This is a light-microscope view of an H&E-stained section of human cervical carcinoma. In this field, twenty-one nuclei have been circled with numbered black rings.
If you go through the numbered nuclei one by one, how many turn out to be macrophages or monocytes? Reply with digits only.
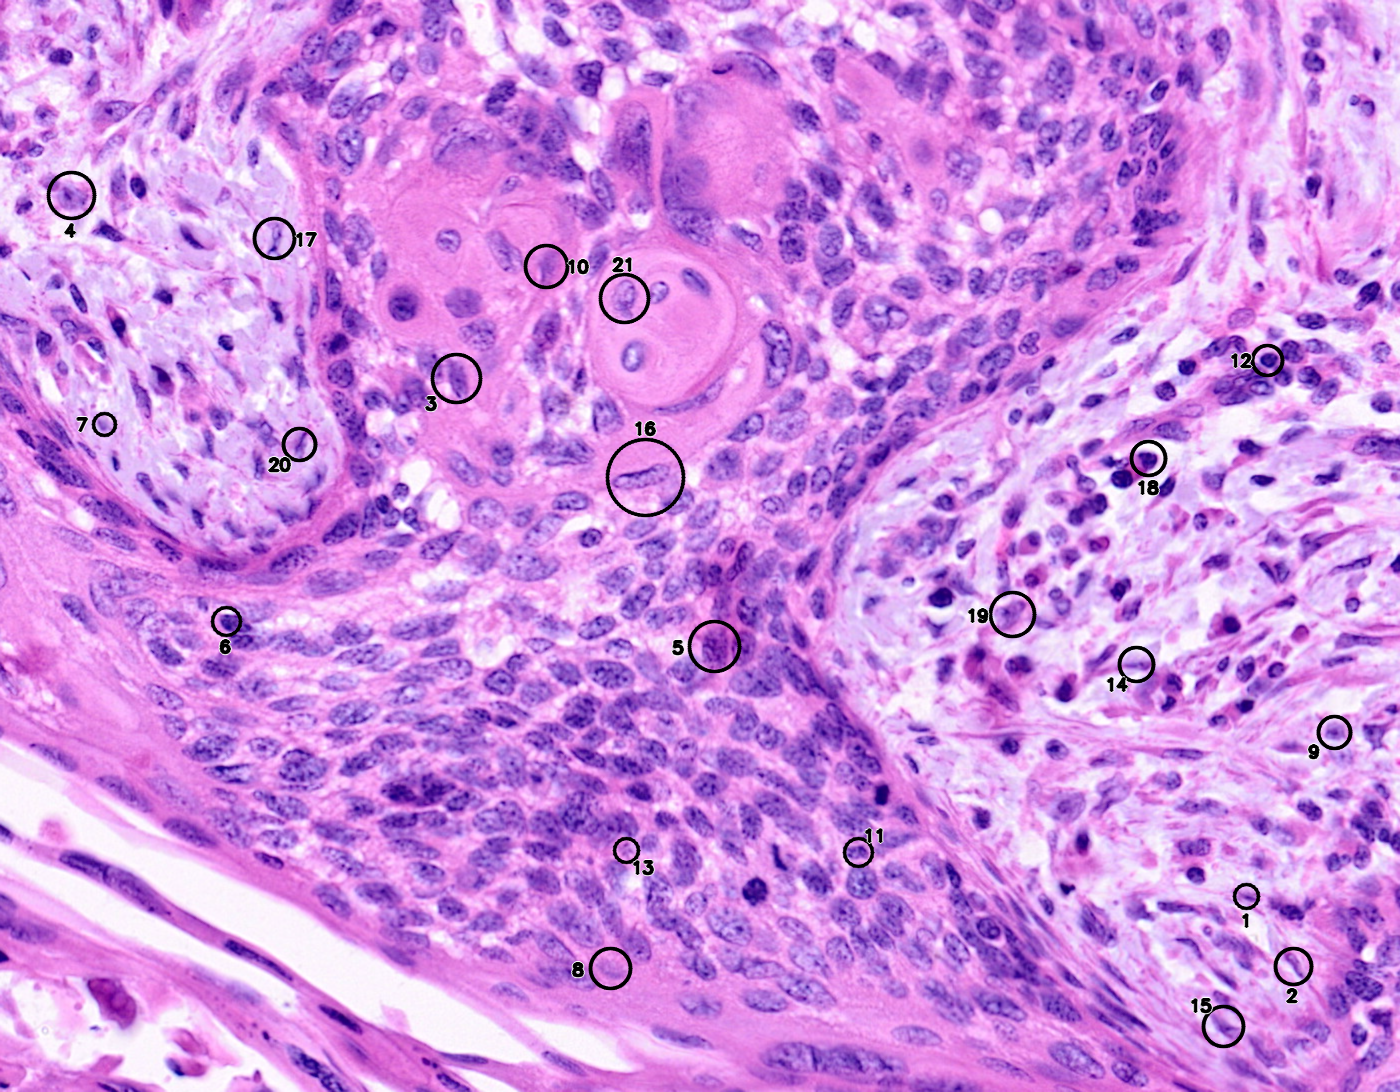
1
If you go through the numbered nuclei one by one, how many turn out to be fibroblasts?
9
